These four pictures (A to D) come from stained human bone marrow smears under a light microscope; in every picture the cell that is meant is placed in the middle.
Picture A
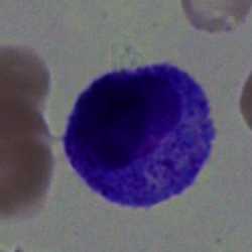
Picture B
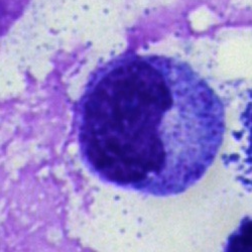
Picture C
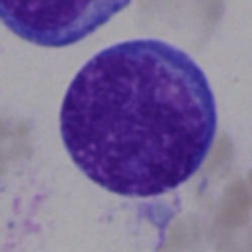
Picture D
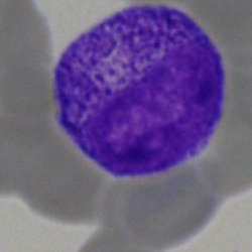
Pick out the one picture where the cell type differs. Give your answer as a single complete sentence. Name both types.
The different one is picture C; it shows a blast, whereas all the others show myelocytes.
